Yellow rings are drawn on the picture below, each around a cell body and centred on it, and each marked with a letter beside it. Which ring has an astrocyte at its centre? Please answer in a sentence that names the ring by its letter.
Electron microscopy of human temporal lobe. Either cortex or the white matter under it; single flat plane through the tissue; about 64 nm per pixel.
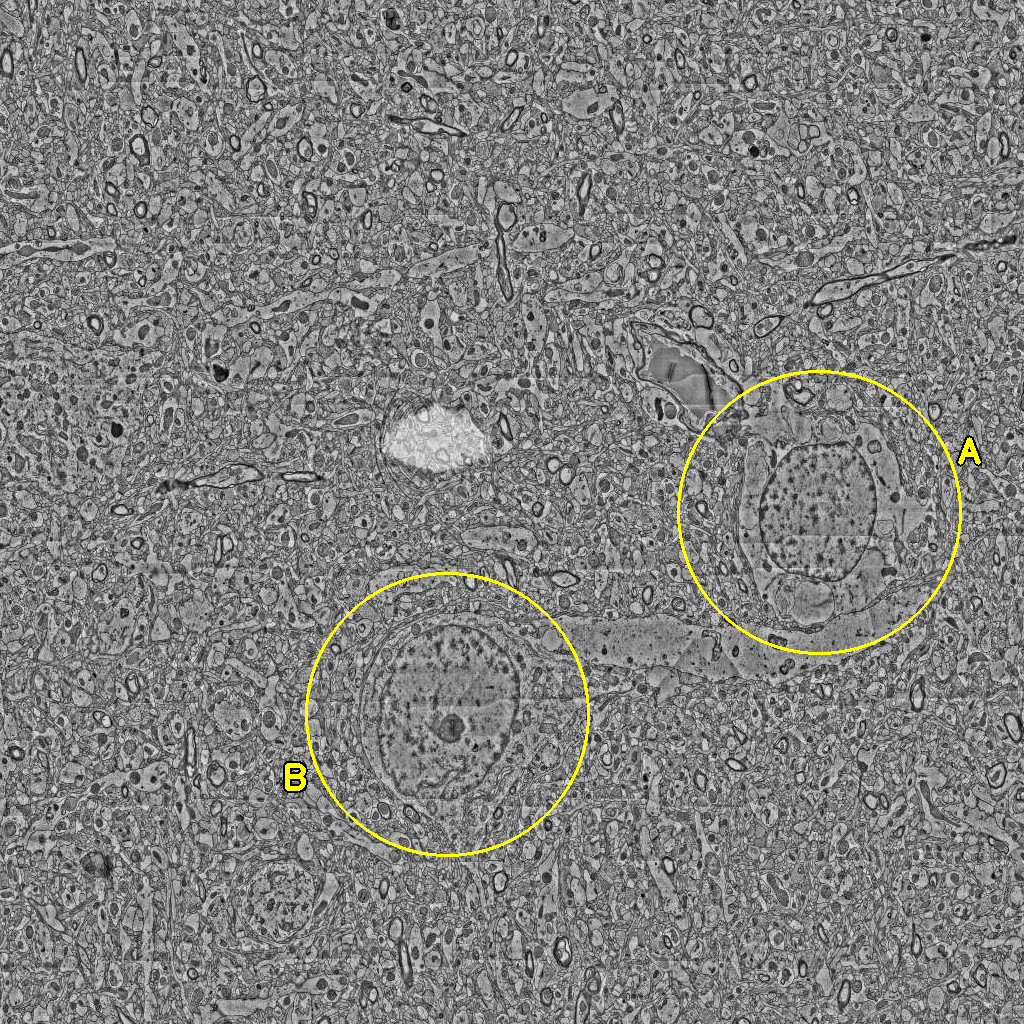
That is ring A.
